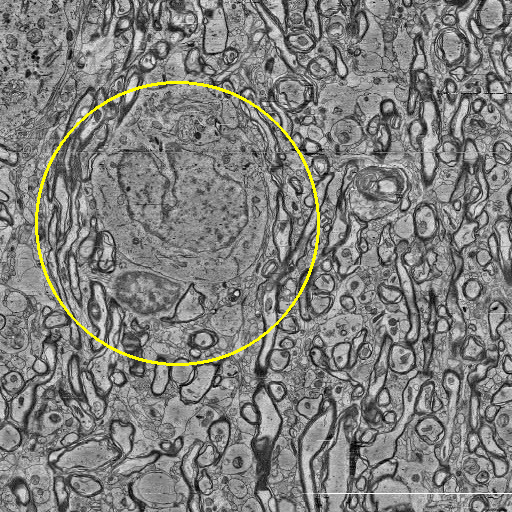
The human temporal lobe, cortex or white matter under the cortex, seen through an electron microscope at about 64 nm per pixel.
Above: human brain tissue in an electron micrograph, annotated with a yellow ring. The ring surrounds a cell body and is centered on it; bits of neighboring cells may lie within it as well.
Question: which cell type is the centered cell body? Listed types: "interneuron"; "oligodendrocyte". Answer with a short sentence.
The centered cell body is an interneuron.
